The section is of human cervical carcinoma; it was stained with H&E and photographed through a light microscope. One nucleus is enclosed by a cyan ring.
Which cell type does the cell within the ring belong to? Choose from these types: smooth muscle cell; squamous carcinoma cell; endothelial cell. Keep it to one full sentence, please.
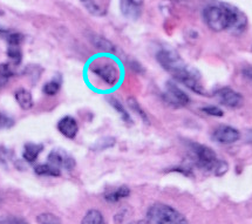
Labelled by cell type, the cell within the ring is an endothelial cell.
